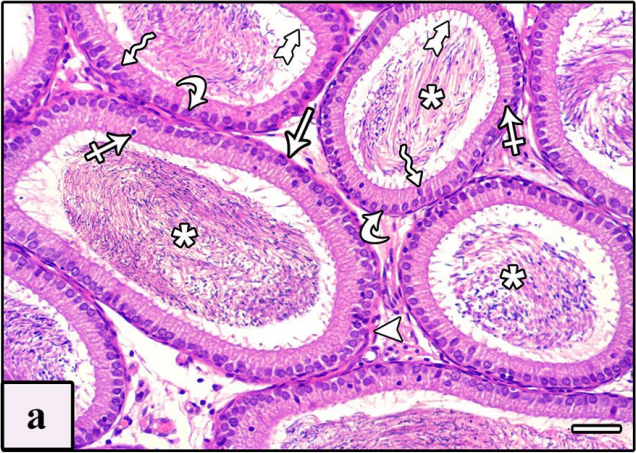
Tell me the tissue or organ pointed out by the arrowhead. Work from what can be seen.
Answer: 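The arrowhead points to a thin layer of flattened cells with elongated nuclei wrapped around the outside of a tubule. So: circular smooth muscle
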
